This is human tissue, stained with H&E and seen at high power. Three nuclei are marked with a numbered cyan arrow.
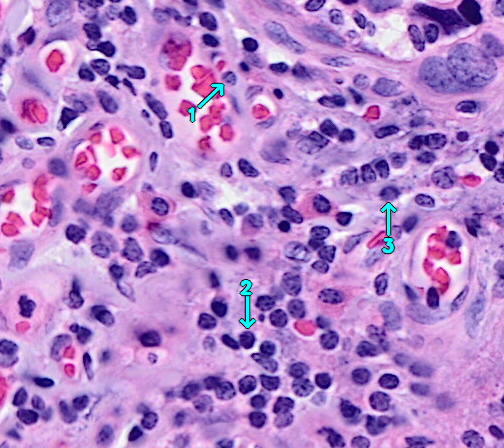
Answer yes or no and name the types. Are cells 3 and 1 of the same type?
No, sorry, cell 3 is a lymphocyte and cell 1 is an endothelial cell.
